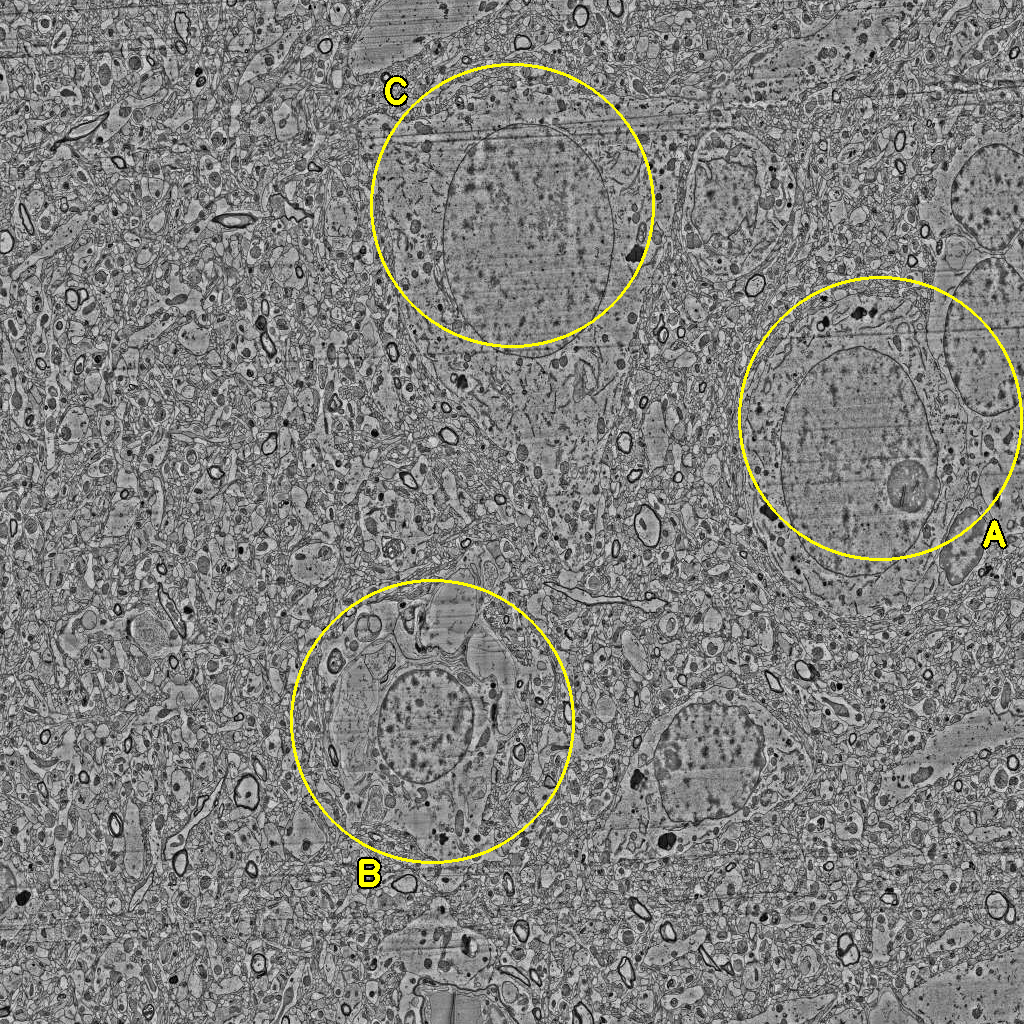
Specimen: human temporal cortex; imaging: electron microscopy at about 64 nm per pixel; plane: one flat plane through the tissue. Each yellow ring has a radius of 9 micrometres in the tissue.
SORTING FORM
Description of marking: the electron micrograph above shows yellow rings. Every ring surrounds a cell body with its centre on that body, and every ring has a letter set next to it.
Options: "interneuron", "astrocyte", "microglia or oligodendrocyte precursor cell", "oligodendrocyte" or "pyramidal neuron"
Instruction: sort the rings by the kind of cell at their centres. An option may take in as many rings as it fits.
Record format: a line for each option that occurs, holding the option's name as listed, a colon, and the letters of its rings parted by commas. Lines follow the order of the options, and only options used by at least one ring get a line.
astrocyte: B
pyramidal neuron: A, C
